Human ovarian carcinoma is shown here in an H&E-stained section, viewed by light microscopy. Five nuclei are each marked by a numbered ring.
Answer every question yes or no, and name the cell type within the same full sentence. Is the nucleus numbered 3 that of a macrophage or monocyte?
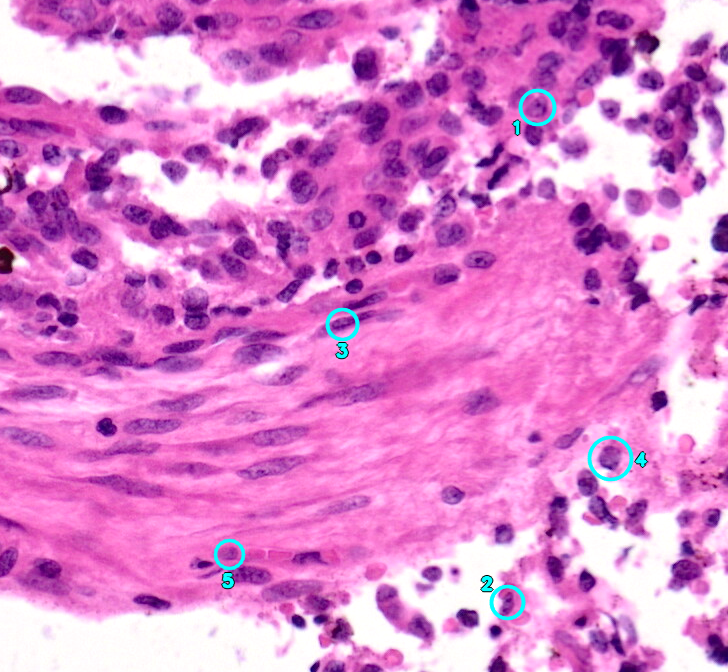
No, the cell labelled number 3 is not a macrophage or monocyte; it is a fibroblast.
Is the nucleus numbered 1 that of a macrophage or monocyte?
Yes, the cell numbered 1 in this tissue is a macrophage or monocyte.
